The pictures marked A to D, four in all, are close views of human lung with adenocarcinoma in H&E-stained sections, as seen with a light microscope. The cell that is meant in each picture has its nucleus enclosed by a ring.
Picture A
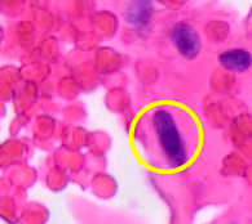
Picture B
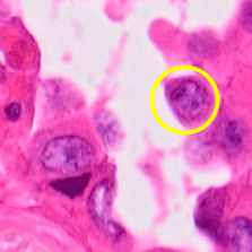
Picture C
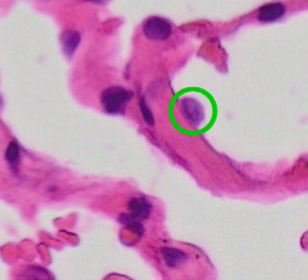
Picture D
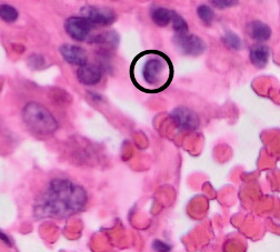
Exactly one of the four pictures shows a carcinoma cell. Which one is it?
B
